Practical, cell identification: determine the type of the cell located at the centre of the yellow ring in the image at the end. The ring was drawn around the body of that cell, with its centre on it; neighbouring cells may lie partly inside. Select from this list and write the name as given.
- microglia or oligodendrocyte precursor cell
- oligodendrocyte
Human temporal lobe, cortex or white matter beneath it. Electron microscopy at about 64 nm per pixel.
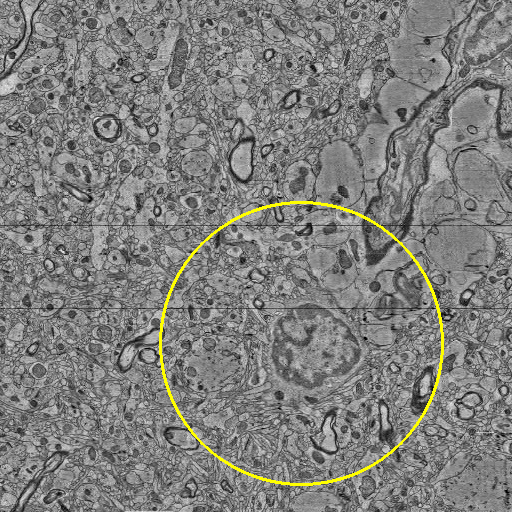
oligodendrocyte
